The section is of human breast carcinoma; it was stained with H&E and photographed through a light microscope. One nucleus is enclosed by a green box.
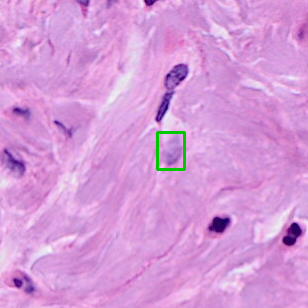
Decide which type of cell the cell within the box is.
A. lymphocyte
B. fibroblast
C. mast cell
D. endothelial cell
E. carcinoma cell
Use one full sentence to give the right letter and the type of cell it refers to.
Looking at the options, pick B; the cell within the box is a fibroblast.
